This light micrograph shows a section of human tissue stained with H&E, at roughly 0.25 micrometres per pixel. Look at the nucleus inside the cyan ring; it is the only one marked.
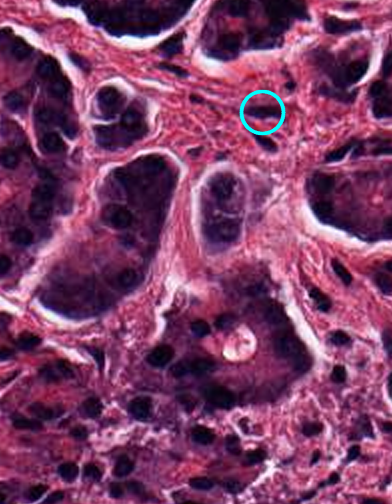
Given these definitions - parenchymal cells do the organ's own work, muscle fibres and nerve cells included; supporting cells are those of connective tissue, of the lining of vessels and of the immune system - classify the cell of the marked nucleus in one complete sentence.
What the marked nucleus belongs to is a supporting cell.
